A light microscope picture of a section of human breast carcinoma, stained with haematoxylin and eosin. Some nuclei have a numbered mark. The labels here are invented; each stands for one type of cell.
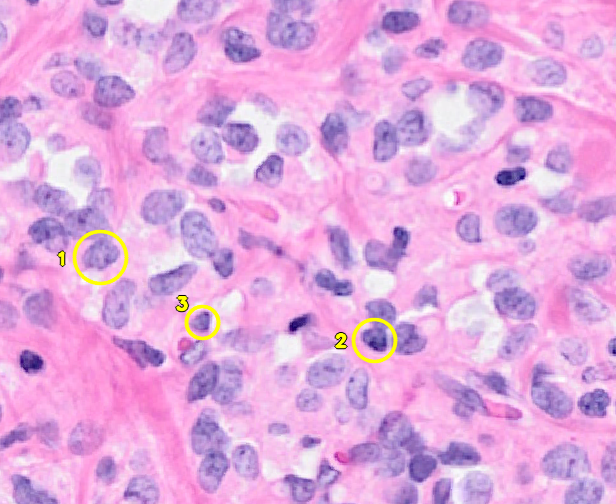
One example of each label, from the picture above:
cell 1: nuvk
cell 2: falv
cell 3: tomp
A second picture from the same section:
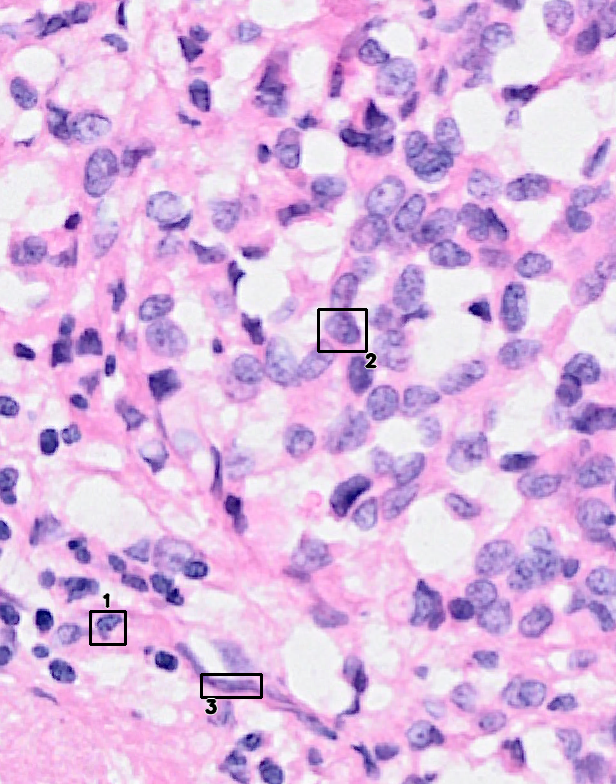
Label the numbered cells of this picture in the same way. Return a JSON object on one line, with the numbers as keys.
{"1": "falv", "2": "nuvk", "3": "tomp"}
